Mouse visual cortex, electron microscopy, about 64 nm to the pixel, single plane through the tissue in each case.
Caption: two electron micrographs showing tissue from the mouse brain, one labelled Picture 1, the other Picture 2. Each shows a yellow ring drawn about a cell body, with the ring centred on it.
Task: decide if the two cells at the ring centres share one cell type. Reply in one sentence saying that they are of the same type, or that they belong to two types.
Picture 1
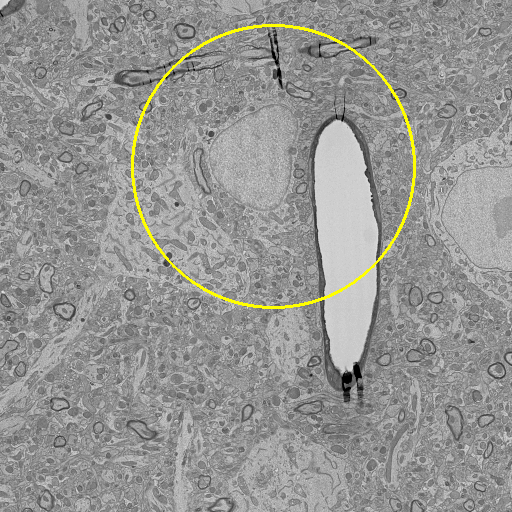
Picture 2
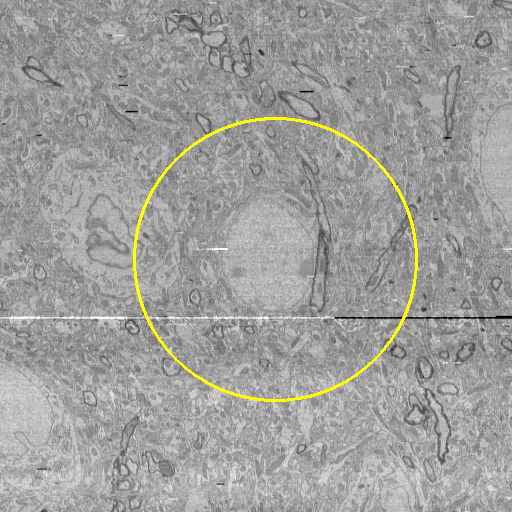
The cells at the ring centres in Picture 1 and Picture 2 are of the same type.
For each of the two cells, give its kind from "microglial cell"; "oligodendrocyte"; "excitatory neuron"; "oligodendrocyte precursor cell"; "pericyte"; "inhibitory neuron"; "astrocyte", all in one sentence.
Both pictures show an astrocyte at the centre of the ring.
